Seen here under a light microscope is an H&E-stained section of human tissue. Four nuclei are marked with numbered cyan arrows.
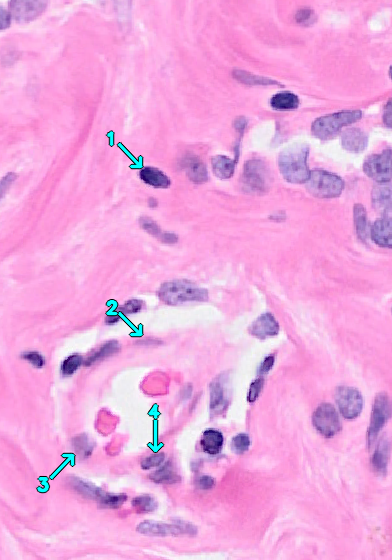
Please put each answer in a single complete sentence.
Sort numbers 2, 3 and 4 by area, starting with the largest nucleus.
Largest first, the order by area is 4, 3, 2.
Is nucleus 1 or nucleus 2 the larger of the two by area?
Number 1 is larger; its area is about 2.5 times that of number 2.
